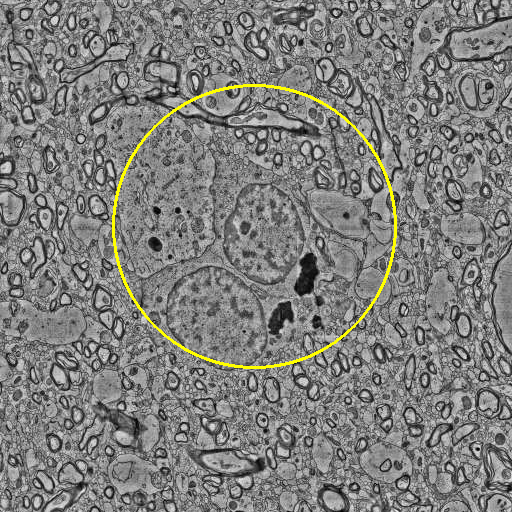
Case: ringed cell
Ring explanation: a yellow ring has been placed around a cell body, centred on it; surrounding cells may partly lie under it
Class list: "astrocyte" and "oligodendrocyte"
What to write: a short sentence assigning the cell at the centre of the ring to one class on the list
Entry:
The cell at the ring's centre is an oligodendrocyte.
